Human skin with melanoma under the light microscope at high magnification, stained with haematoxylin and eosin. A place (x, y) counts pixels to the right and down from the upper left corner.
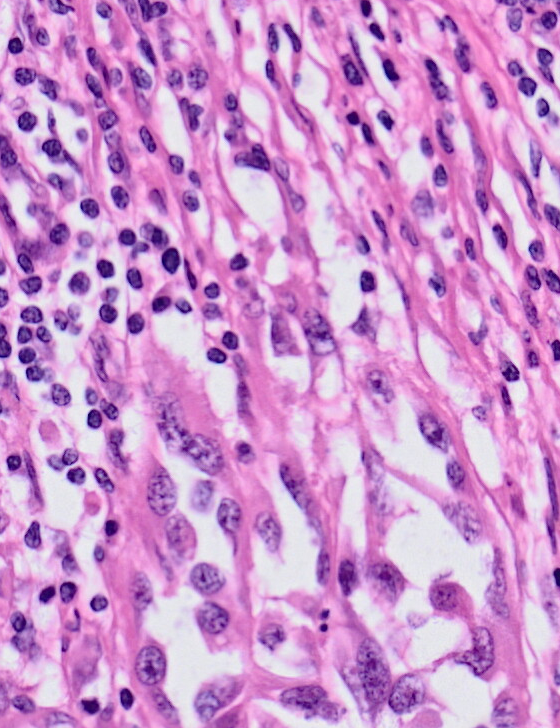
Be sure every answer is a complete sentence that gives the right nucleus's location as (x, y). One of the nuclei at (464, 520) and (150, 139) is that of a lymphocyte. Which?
Answering which nucleus it is: the one at (150, 139), belonging to a lymphocyte.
